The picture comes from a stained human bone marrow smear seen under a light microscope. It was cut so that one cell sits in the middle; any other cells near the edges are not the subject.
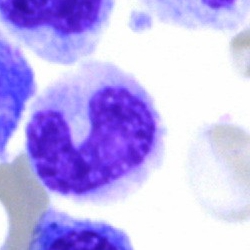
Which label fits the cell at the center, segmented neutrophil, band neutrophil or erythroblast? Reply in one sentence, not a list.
Standing at the centre of this crop is a band neutrophil.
